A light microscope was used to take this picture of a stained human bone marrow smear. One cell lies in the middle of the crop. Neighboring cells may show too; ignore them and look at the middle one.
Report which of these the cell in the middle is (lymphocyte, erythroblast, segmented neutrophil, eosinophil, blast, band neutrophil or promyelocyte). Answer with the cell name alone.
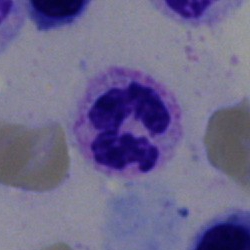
segmented neutrophil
